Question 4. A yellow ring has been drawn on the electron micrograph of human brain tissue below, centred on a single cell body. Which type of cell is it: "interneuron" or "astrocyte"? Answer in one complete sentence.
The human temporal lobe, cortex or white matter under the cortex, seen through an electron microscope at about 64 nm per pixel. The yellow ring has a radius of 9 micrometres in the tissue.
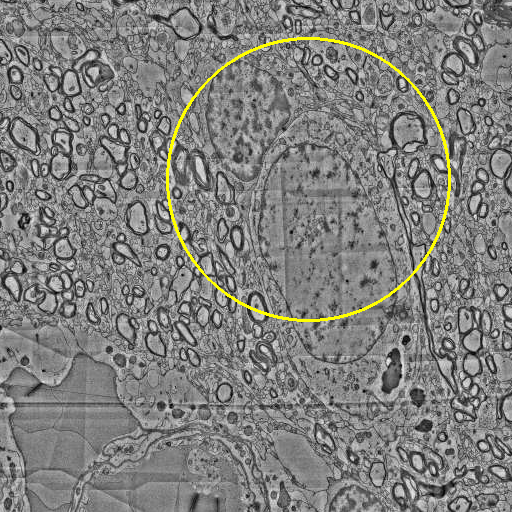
This cell body belongs to an interneuron.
